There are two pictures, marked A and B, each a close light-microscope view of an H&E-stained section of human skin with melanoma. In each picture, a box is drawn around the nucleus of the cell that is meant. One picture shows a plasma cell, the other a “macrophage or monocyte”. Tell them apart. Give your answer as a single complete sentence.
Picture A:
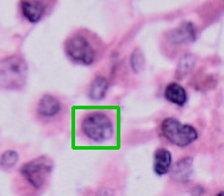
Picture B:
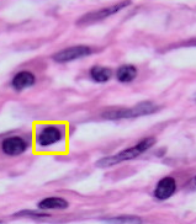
The cell in picture A is a “macrophage or monocyte”, and the one in picture B is a plasma cell.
